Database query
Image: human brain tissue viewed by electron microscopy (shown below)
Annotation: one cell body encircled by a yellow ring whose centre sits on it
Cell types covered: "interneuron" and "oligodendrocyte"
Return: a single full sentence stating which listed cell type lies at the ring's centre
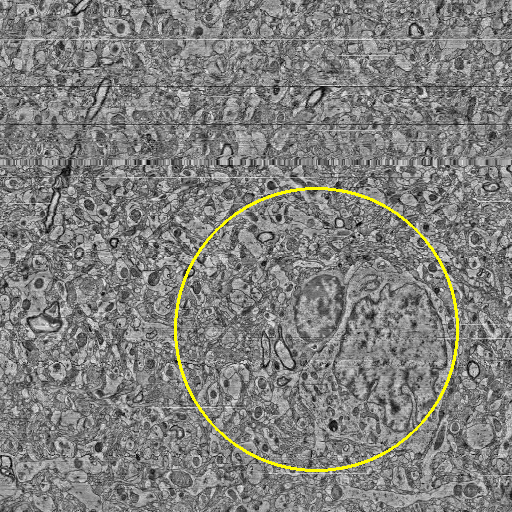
In the image, the cell lying at the ring's centre is an oligodendrocyte.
